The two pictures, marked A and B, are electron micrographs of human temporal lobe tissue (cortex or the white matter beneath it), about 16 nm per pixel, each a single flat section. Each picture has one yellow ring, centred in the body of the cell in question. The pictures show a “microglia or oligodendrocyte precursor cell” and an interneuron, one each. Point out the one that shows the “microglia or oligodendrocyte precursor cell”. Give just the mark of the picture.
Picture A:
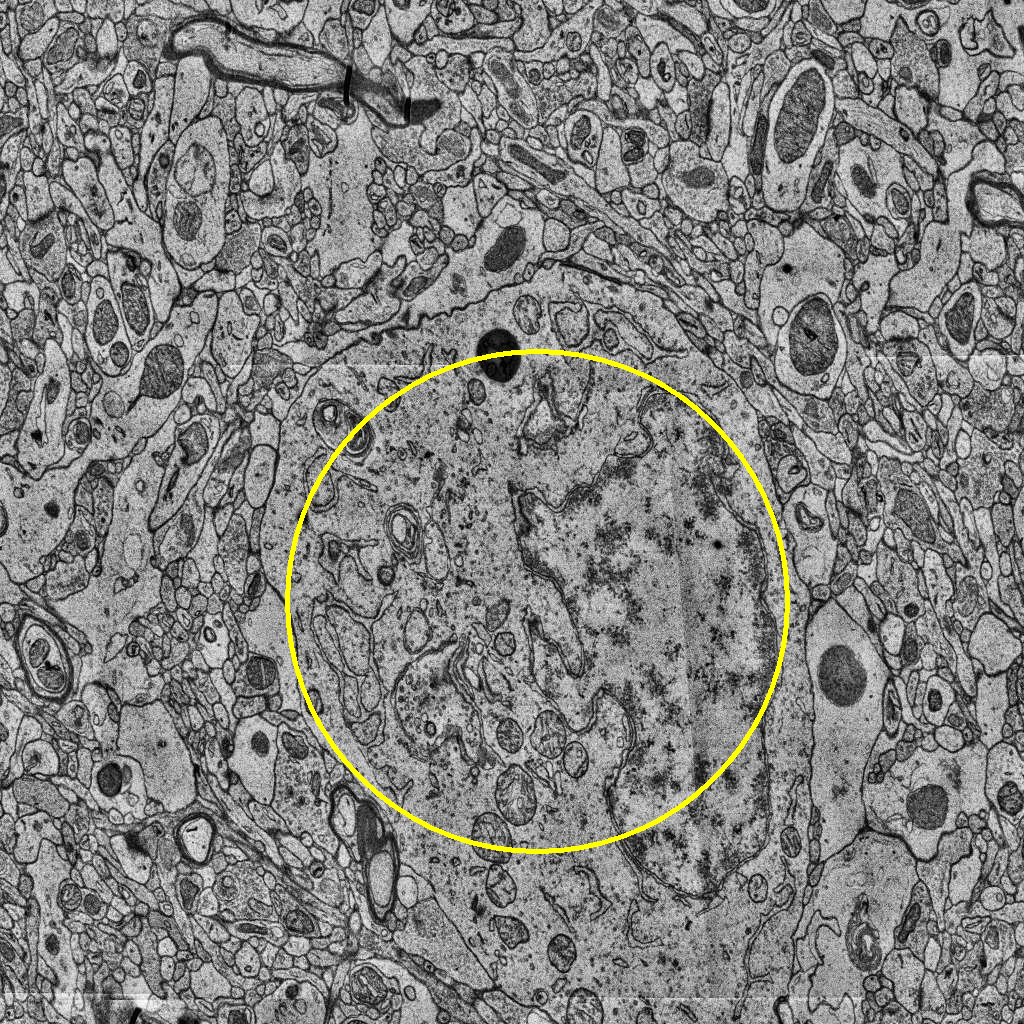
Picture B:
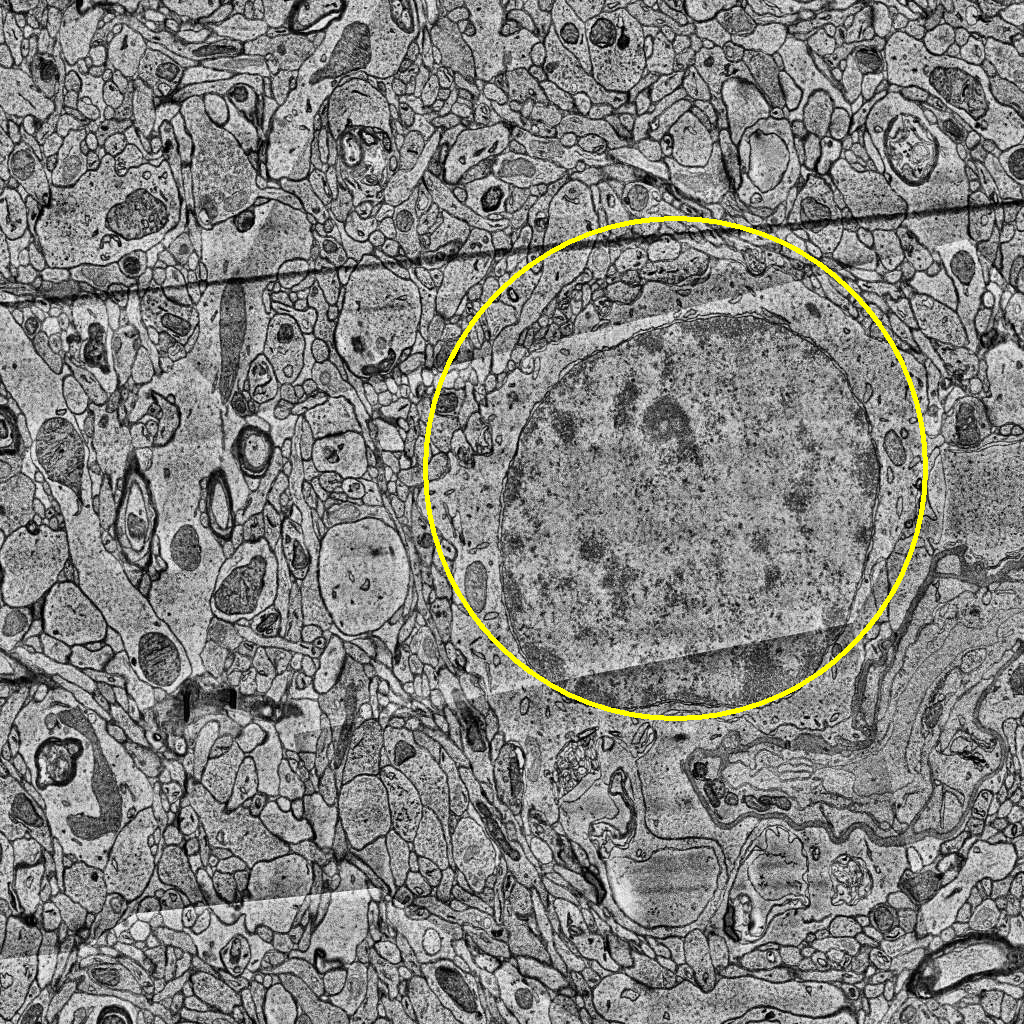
B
